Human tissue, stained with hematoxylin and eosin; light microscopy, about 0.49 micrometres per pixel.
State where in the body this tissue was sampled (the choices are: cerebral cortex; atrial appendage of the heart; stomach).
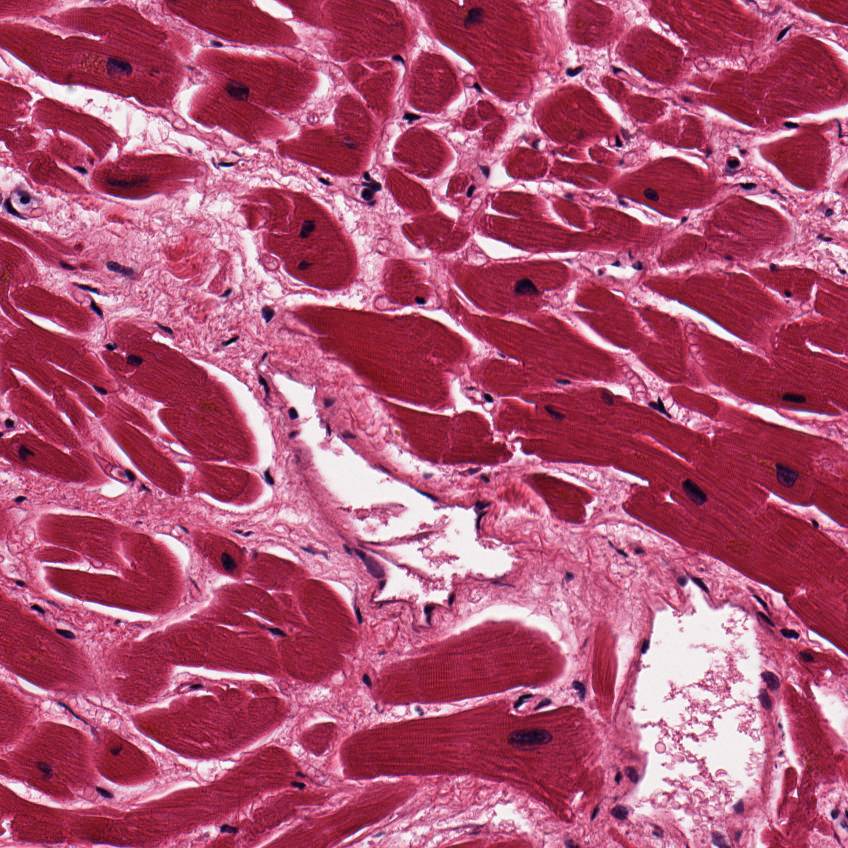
atrial appendage of the heart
